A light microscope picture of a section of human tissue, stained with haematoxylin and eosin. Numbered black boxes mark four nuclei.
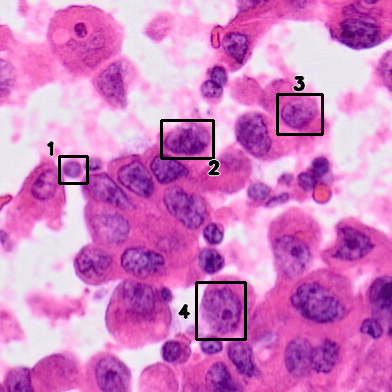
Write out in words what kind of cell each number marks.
Cell 1 is a lymphocyte. Cells 2, 3 and 4 are carcinoma cells.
